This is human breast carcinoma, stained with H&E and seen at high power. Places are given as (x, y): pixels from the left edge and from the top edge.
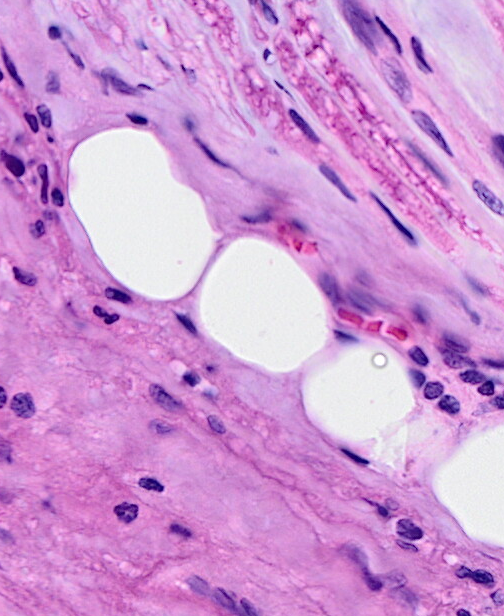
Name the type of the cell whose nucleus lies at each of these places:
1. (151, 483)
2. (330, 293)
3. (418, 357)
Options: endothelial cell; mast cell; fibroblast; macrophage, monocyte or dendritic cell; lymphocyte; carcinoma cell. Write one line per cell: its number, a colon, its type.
1: lymphocyte
2: endothelial cell
3: lymphocyte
